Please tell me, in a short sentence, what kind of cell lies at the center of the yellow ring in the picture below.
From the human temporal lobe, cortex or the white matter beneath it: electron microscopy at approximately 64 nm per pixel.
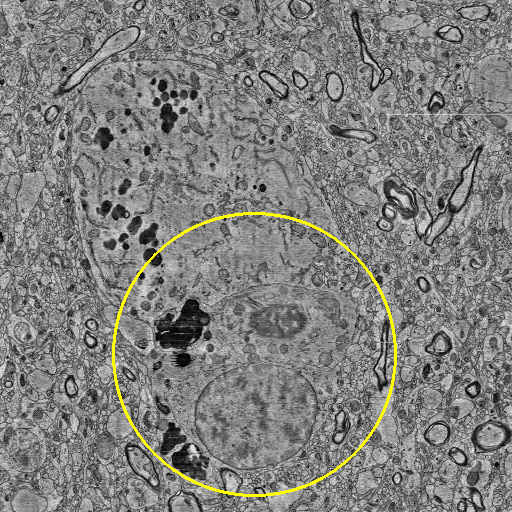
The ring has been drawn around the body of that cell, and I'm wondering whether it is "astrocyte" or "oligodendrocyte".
The cell at the center of the ring is an oligodendrocyte.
